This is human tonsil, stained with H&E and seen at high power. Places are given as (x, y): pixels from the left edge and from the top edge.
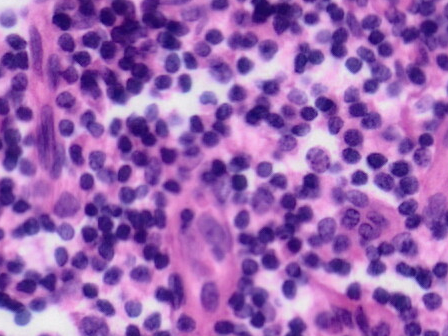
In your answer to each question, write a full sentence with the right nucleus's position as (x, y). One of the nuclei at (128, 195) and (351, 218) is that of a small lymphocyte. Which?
Located at (128, 195), this nucleus is the one belonging to a small lymphocyte.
